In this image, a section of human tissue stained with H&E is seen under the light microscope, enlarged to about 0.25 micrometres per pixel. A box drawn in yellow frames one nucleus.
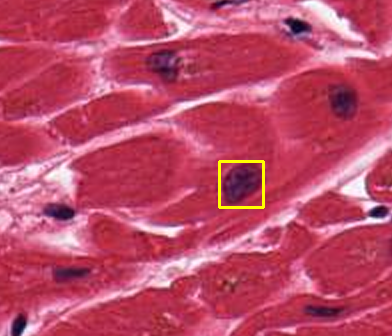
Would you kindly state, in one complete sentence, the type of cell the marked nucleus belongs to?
The nucleus that has been marked belongs to a cardiomyocyte.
